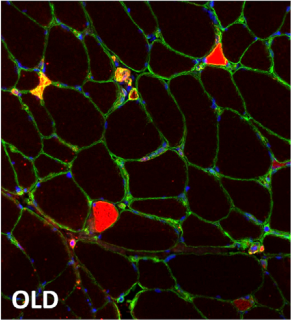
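This is a cross-section of skeletal muscle in which each fibre is seen as a dark polygon ringed by a thin green border. The fibres differ clearly in size: large, angular fibres sit beside much smaller ones. A few of the small fibres are filled with bright red, some with yellow where red and green overlap, and they lie scattered among the larger dark fibres. Small blue dots sit along the fibre borders and in the spaces between fibres. The green borders look somewhat thicker and more irregular in places, and the spaces between some fibres are wider.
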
